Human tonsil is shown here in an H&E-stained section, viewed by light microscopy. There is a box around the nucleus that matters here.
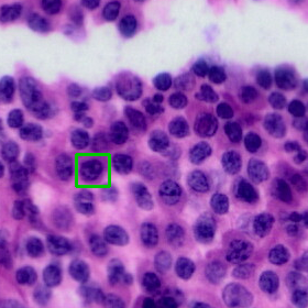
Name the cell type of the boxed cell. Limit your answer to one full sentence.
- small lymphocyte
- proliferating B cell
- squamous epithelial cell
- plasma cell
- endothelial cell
Typologically, the boxed cell is a plasma cell in this section.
